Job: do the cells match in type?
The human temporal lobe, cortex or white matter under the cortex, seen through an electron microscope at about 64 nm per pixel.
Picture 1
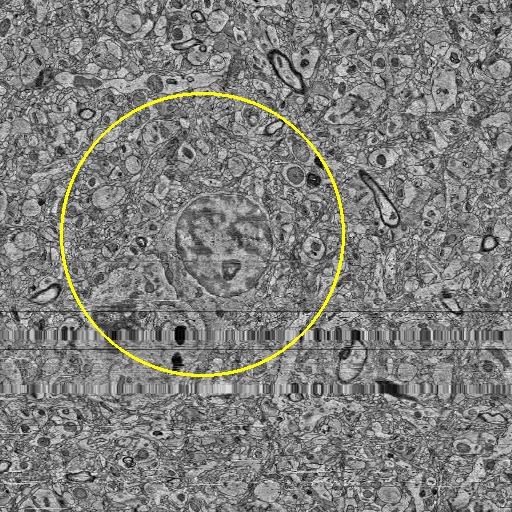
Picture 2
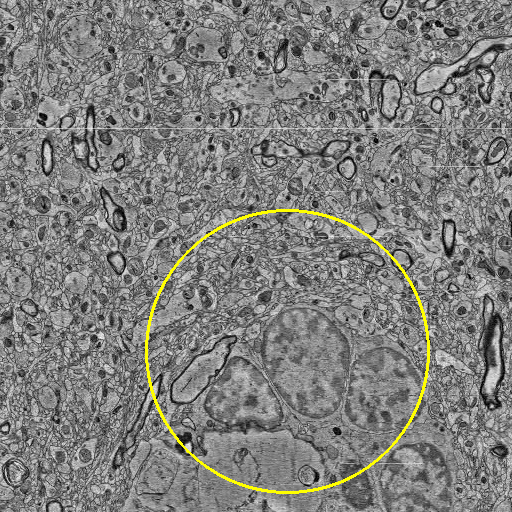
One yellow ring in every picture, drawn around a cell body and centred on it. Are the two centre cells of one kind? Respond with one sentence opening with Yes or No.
Yes, the ringed cells in the two pictures are of one and the same kind.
